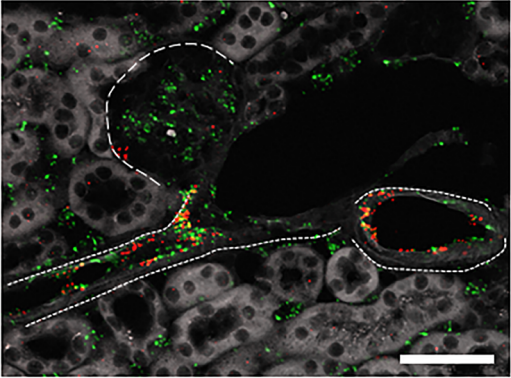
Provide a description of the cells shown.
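Kidney cortex in grey background fluorescence, with many tubule cross sections formed by rings of cuboidal epithelial cells with round dark nuclei around small lumens. At upper left a rounded compact tuft without such a ring is a glomerulus, sprinkled with small green dots. A large dark empty lumen fills the centre; below it a narrow vessel runs diagonally and to the right a small vessel in cross section shows a thick wall around a dark lumen. Red dots gather in these vessel walls, with some yellow where red and green overlap. Green dots also lie between tubules, as in peritubular capillaries.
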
